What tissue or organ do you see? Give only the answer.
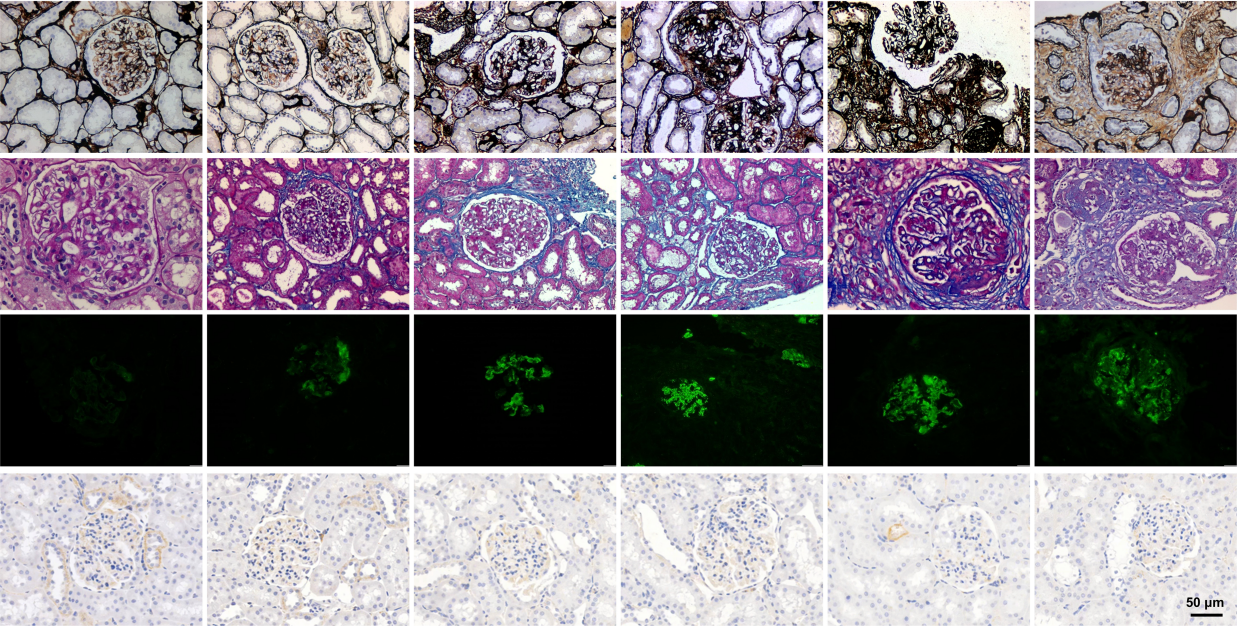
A: kidney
